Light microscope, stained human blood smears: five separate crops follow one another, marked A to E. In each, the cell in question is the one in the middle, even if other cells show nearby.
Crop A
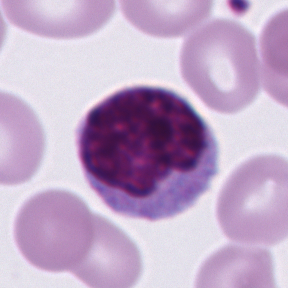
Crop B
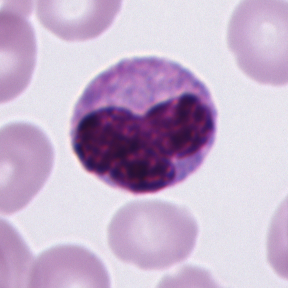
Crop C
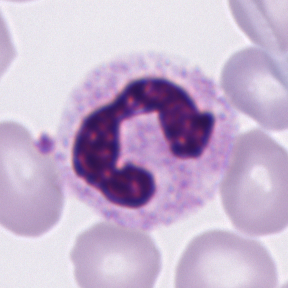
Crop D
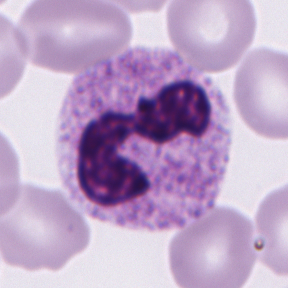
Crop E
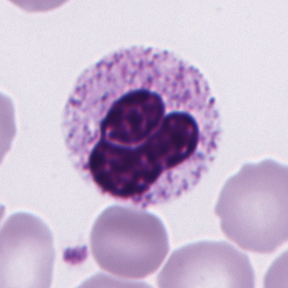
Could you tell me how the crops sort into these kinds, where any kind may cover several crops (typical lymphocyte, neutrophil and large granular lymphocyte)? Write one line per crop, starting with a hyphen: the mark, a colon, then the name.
- A: large granular lymphocyte
- B: neutrophil
- C: neutrophil
- D: neutrophil
- E: neutrophil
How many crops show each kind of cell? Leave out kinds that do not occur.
neutrophil: 4
large granular lymphocyte: 1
